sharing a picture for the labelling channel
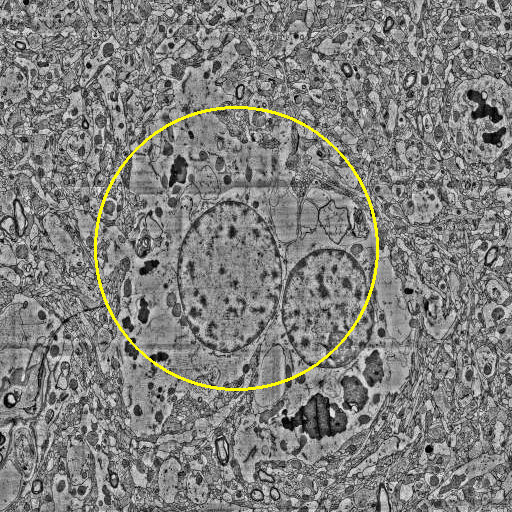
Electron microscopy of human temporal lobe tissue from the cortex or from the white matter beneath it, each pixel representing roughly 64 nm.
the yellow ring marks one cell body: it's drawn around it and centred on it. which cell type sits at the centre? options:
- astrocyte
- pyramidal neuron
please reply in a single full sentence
In the picture, the cell at the ring's centre is an astrocyte, going by the list.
